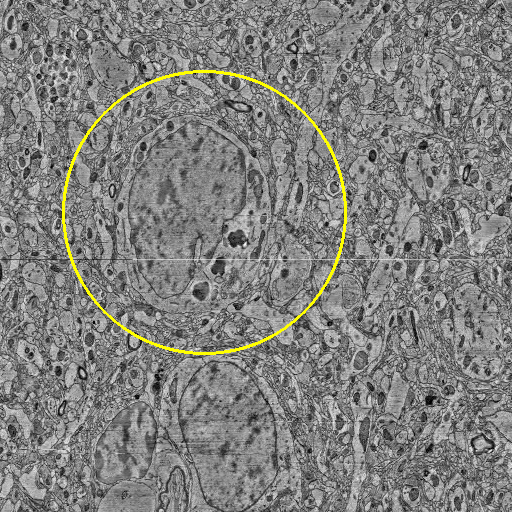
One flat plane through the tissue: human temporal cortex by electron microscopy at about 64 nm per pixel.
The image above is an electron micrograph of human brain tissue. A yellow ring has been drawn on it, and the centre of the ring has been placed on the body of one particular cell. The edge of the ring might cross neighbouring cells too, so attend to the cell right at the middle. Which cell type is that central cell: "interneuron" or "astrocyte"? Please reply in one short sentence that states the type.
The central cell in the ring is an interneuron.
